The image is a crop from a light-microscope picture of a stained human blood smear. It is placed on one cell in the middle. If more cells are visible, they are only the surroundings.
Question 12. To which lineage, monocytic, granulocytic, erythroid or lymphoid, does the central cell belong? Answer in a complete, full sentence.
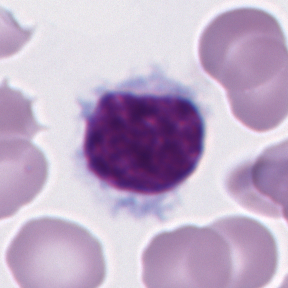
The lymphoid lineage is the lineage of the cell in the middle.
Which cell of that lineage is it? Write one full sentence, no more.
The cell shown in the center of this light-microscope crop is a hairy cell.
